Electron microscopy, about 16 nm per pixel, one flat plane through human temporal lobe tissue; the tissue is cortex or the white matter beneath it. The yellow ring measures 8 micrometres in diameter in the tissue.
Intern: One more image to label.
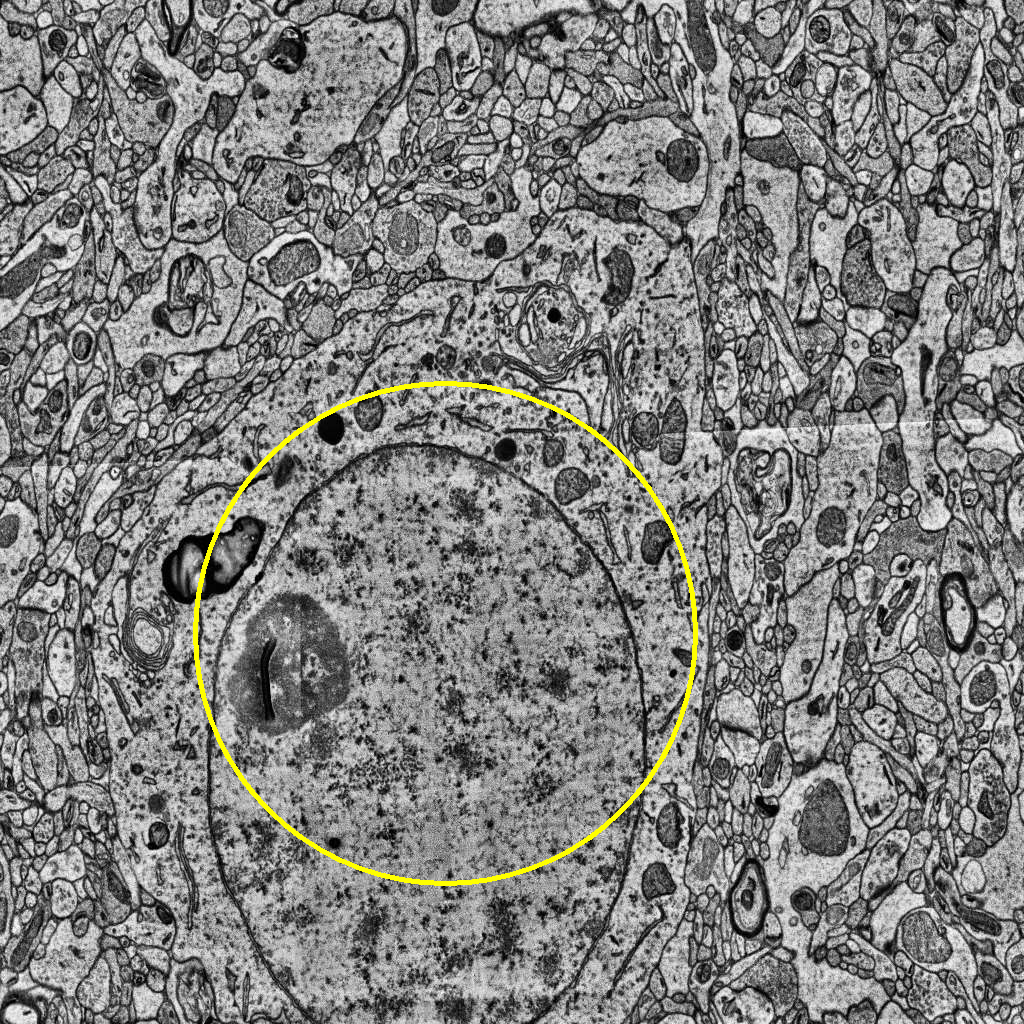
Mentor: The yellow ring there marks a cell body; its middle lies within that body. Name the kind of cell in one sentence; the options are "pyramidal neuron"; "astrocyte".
The ring marks the cell body of a pyramidal neuron.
